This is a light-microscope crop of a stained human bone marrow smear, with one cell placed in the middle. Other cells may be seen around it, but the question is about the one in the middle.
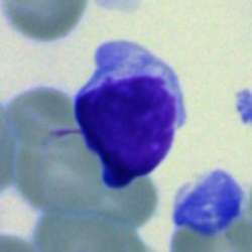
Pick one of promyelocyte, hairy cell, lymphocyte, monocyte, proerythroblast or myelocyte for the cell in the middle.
lymphocyte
